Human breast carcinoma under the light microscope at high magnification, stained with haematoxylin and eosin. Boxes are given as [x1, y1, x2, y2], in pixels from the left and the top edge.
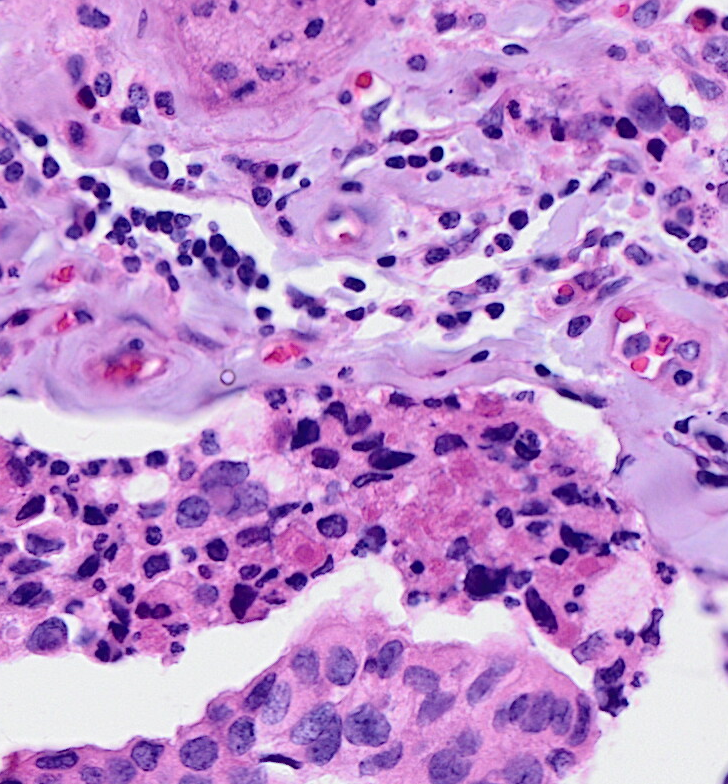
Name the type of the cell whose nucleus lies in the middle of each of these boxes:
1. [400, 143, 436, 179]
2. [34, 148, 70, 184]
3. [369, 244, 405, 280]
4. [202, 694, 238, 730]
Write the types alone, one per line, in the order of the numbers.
lymphocyte
lymphocyte
lymphocyte
carcinoma cell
